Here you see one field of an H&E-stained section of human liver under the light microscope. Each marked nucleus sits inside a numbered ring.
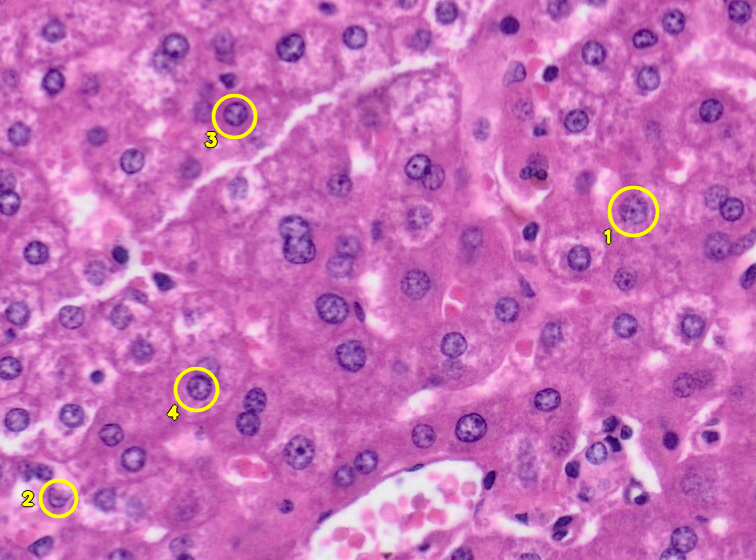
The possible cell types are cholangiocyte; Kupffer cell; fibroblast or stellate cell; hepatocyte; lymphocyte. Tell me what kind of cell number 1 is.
hepatocyte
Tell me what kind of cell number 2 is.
Kupffer cell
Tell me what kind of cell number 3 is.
hepatocyte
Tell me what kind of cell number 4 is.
hepatocyte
